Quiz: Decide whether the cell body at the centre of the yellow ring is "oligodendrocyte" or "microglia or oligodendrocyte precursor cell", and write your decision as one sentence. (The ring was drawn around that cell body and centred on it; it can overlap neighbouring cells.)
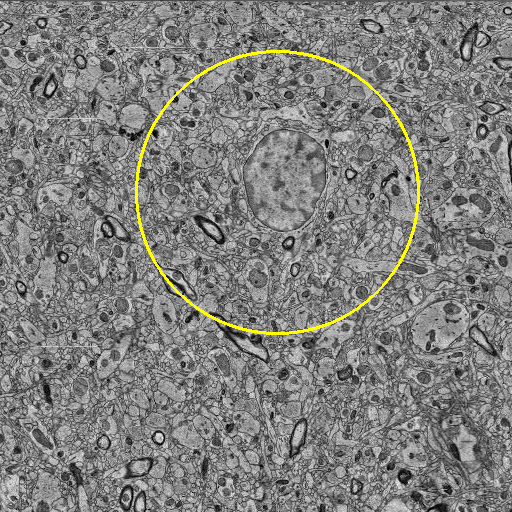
The cell the ring is centred on is a microglial cell or oligodendrocyte precursor cell.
